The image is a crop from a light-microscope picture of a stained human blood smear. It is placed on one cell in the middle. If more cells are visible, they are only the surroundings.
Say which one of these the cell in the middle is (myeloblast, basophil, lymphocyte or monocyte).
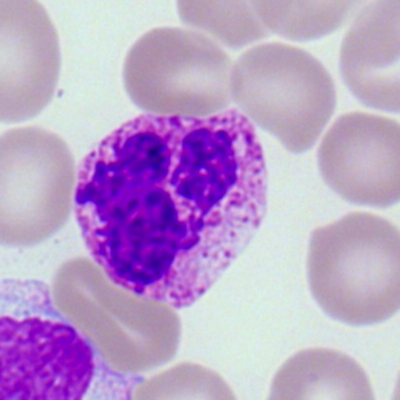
basophil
